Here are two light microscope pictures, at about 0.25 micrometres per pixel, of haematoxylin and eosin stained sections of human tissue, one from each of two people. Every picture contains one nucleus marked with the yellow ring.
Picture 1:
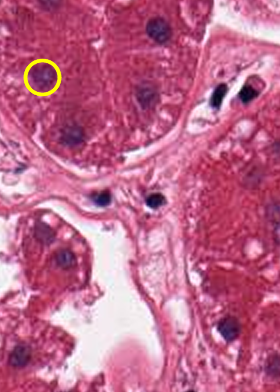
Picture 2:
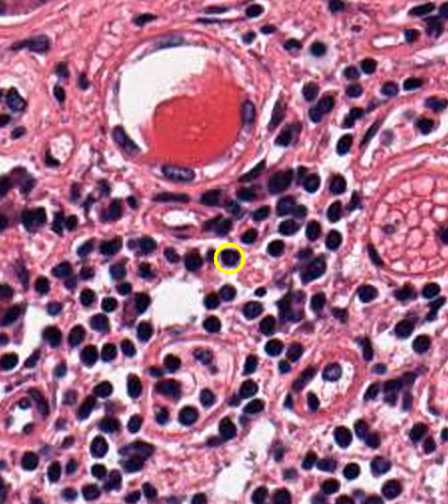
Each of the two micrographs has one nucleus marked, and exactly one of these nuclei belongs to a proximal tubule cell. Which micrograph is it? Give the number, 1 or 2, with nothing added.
1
